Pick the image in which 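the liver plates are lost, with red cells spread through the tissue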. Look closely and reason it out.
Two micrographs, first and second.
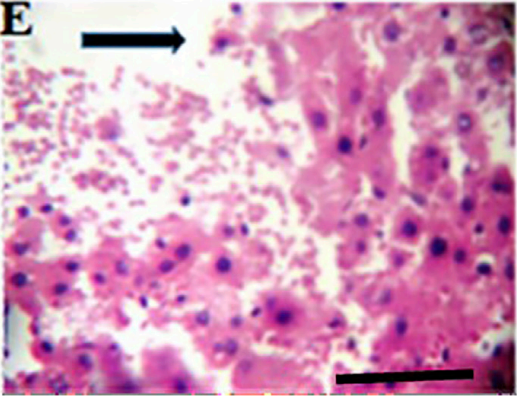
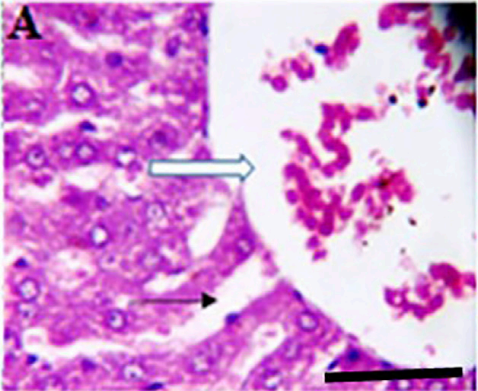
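First image: red blood cells are scattered widely outside any vessel, and the hepatocyte cords are broken. Second image: the red cells lie within a vessel lumen, and the hepatocytes form orderly cords separated by sinusoids. The answer: the first image.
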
